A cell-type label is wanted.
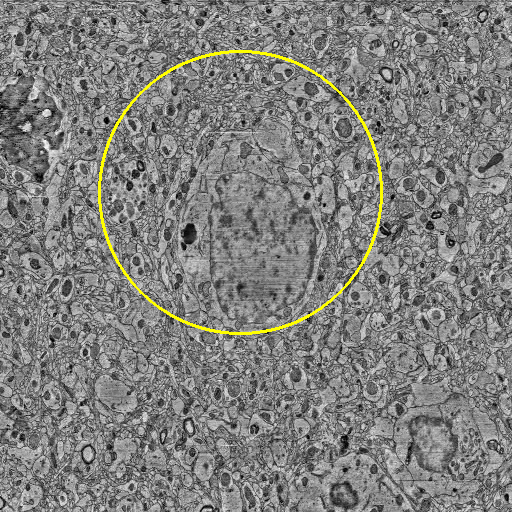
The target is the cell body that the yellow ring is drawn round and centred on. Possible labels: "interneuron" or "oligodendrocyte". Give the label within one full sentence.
Of the labels offered, the cell in the middle of the yellow ring is an interneuron.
